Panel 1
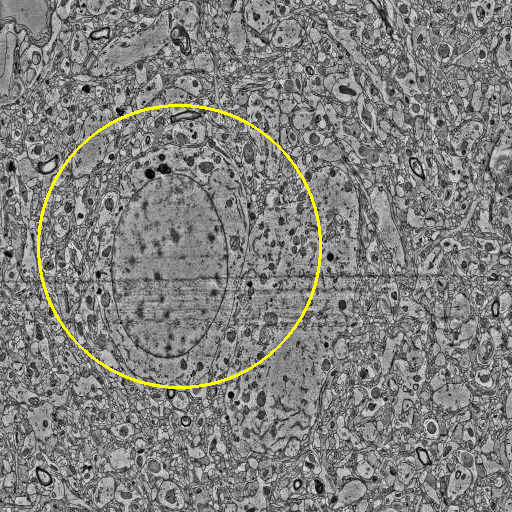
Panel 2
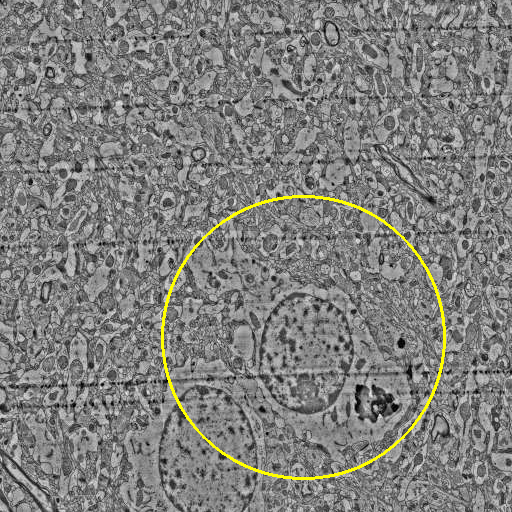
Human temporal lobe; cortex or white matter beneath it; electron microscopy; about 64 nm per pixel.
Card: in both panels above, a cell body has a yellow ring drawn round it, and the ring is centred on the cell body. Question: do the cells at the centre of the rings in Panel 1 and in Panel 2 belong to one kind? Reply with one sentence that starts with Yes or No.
No, the cells centred in the rings of Panel 1 and Panel 2 are two kinds of cell.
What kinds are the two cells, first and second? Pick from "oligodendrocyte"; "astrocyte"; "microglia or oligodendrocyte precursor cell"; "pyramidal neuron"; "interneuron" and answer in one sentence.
The second picture holds an astrocyte in its ring, and the first holds a pyramidal neuron.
